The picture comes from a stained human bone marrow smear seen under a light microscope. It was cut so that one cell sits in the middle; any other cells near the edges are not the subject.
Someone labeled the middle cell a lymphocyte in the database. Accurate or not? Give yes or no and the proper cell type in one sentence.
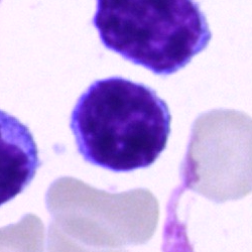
Yes, the cell found at the centre of the crop is a lymphocyte.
